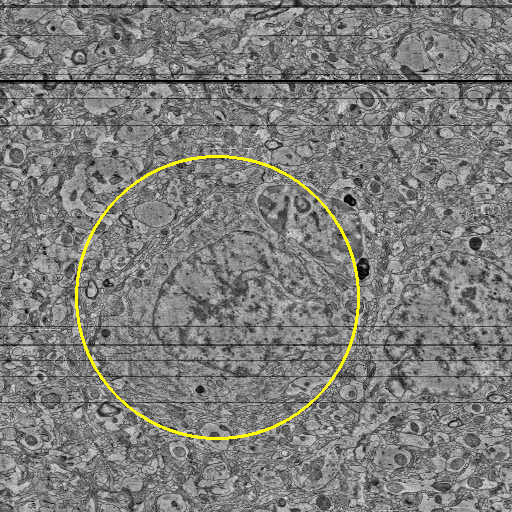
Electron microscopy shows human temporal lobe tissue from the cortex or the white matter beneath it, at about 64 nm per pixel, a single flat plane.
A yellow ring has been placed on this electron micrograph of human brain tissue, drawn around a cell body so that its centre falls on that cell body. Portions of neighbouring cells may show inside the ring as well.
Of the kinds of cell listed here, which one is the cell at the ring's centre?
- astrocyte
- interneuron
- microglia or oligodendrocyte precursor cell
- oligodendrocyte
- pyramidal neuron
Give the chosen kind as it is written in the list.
interneuron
